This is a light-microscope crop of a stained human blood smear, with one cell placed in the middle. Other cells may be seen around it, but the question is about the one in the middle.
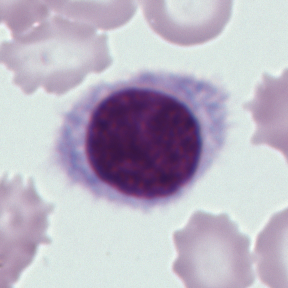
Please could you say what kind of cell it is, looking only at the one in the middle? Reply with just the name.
hairy cell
